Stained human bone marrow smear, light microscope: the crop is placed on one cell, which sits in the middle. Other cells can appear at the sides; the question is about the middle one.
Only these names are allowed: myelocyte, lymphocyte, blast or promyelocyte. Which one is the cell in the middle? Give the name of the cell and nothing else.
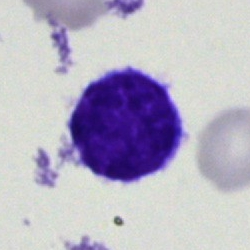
lymphocyte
